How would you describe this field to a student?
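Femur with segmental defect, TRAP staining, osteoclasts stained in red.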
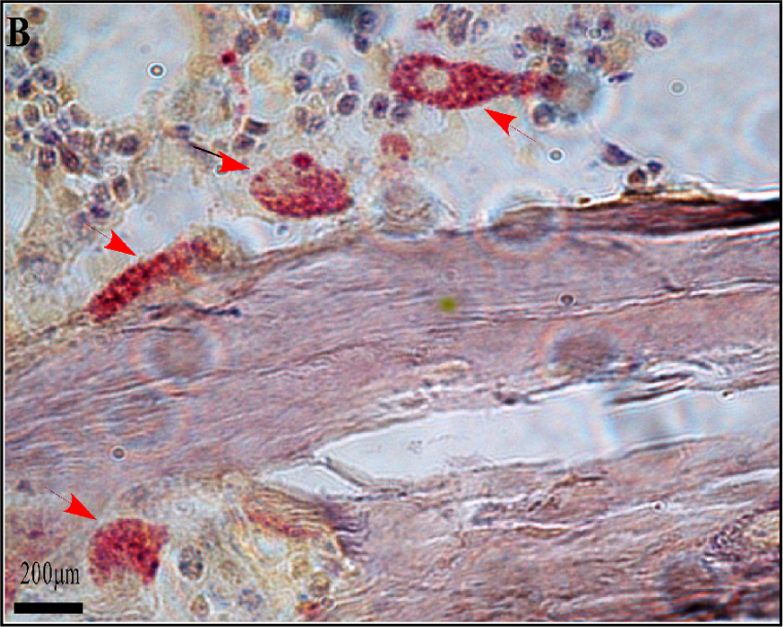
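A broad band of pale pinkish-purple bone with a streaked, lamellar texture runs diagonally across the field. Above and below it lies loose marrow-like tissue crowded with small round cells that have dark purple nuclei. Among these small cells sit a few much larger cells whose cytoplasm is packed with granular bright red stain.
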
